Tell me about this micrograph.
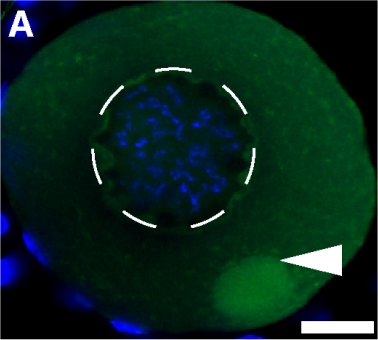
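This is a young oocyte, a single large round cell, with its nucleus outlined in the middle. Inside the nucleus the chromatin appears as small blue threads and dots scattered through a dark nucleoplasm. Near the lower right margin lies a compact, rounded patch of brighter, denser green, an aggregate set apart from the rest of the cytoplasm. At the edge of the cell a few small blue nuclei of the surrounding cells can be seen.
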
